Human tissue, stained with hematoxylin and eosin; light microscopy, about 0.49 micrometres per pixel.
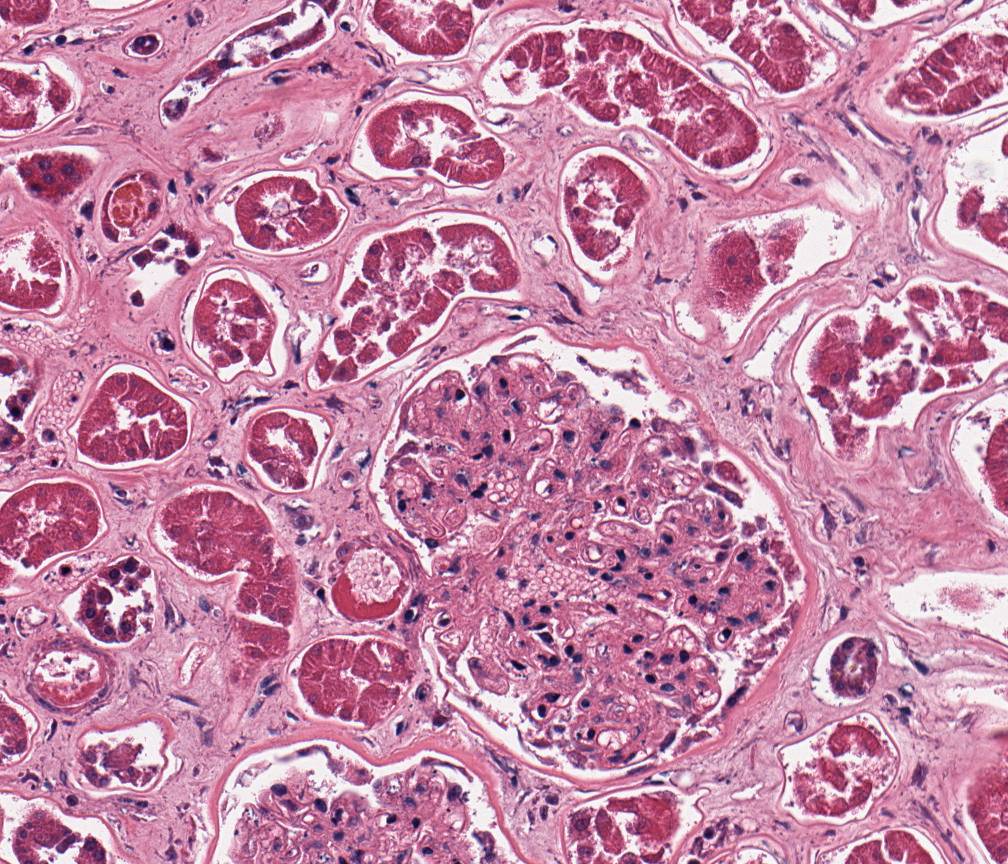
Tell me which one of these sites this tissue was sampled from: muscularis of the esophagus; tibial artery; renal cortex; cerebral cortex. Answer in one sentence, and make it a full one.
The sample used for this section is from the renal cortex.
